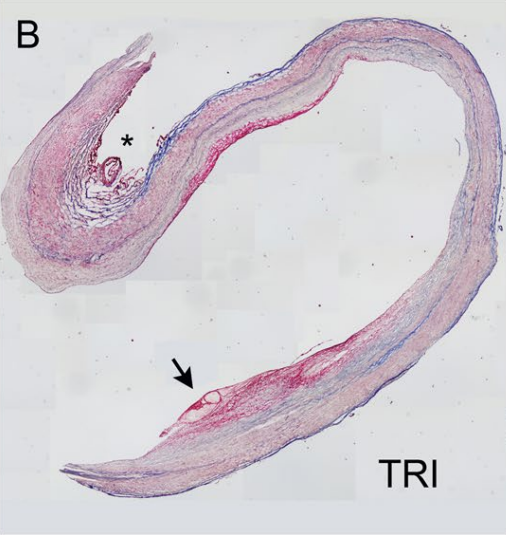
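Low-magnification trichrome section of a thin, curved and folded vascular wall, stained pink-red with blue fibrous bands running along its length. At the folded end a small round vessel with its own lumen lies within the outer wall; along the opposite limb a loose red-staining deposit with small cavities lies on the inner surface.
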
